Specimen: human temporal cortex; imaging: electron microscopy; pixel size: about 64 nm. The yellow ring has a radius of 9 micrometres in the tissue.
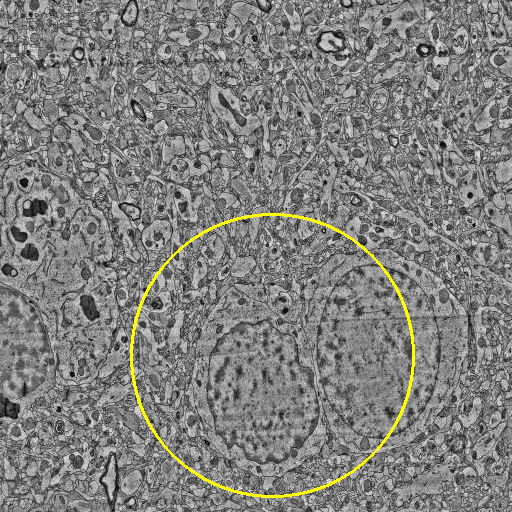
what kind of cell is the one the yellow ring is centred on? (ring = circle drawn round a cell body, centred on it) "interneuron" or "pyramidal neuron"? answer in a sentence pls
The ring is drawn around an interneuron.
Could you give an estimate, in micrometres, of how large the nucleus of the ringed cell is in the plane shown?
In this plane, about 9 micrometres in length and 7 in width.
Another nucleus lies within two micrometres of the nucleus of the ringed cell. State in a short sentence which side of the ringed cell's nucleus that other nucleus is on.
That other nucleus sits to the right of it.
